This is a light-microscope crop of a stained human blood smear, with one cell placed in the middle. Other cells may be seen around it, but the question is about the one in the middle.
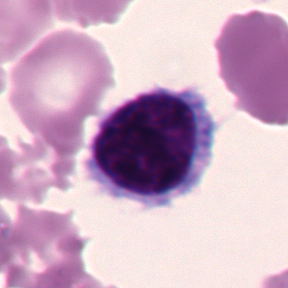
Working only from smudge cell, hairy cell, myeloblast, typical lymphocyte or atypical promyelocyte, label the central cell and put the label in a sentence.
The single cell at the center of the crop is a hairy cell.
